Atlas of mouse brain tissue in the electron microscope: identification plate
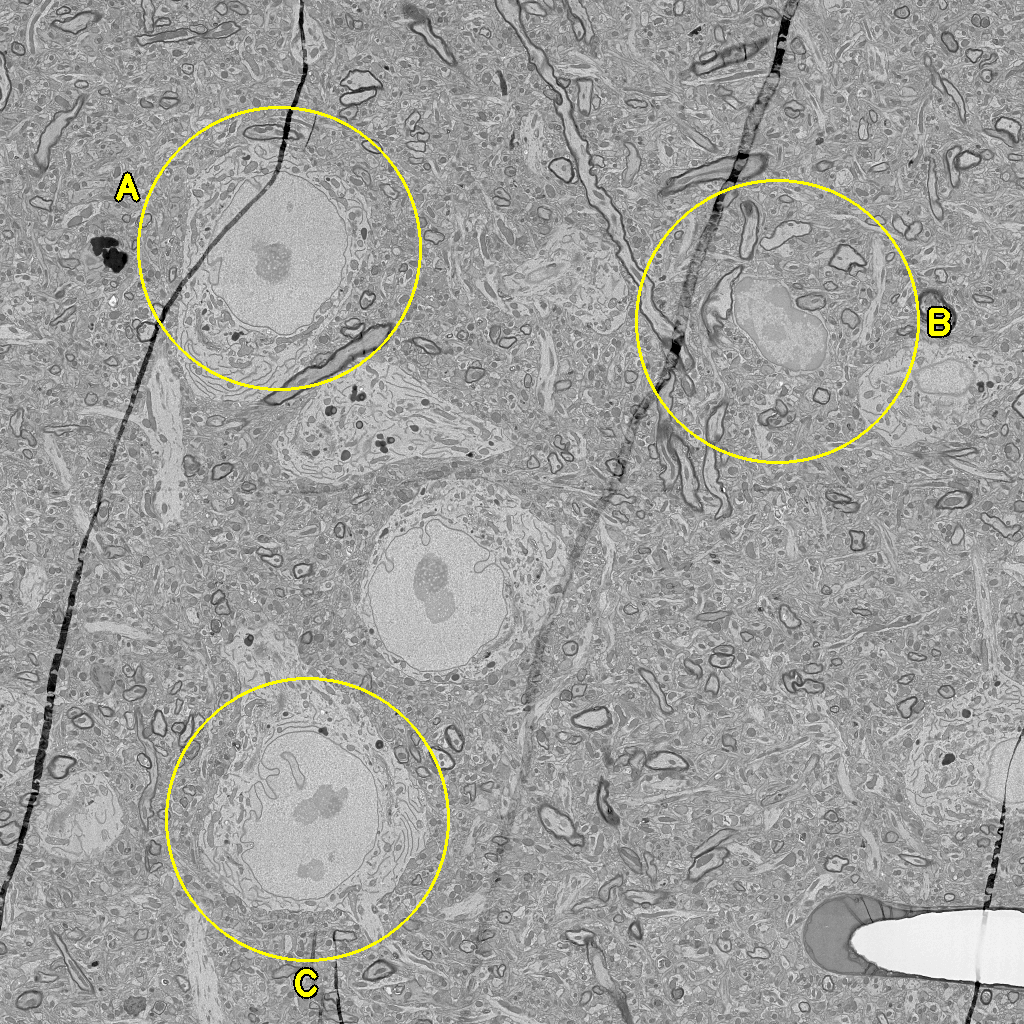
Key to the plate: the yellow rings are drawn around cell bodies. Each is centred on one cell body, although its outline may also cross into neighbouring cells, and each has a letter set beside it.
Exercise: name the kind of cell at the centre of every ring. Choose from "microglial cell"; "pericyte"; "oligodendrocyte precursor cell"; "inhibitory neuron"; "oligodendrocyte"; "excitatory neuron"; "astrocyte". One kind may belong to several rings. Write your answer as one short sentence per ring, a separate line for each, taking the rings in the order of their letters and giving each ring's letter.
The centre of ring A is occupied by an inhibitory neuron.
The centre of ring B is occupied by a microglial cell.
The centre of ring C is occupied by an excitatory neuron.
